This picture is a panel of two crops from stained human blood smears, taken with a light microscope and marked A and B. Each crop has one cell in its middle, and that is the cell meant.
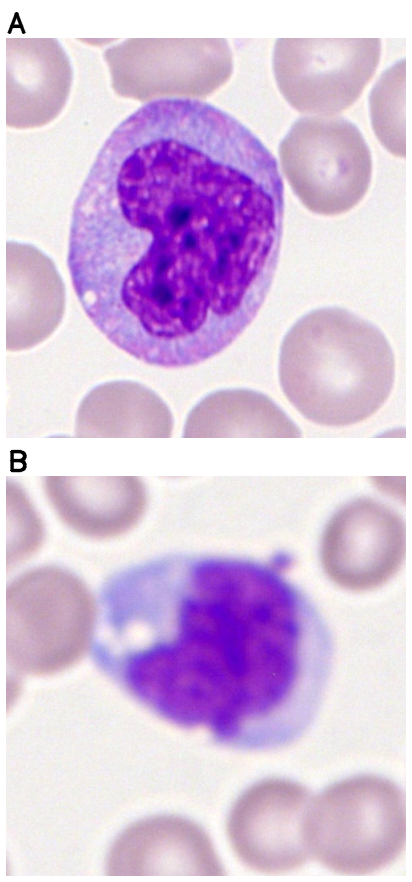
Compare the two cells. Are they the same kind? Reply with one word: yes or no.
yes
